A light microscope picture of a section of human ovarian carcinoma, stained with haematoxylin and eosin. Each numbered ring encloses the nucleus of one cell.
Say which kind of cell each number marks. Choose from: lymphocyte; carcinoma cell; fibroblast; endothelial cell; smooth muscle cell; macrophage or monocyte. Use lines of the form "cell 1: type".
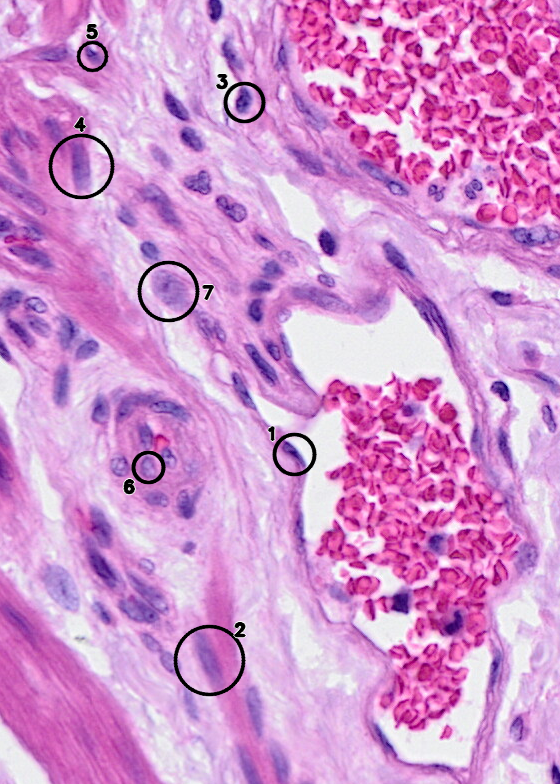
cell 1: endothelial cell
cell 2: smooth muscle cell
cell 3: lymphocyte
cell 4: smooth muscle cell
cell 5: endothelial cell
cell 6: endothelial cell
cell 7: fibroblast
